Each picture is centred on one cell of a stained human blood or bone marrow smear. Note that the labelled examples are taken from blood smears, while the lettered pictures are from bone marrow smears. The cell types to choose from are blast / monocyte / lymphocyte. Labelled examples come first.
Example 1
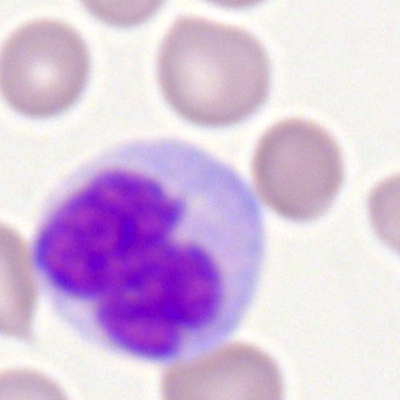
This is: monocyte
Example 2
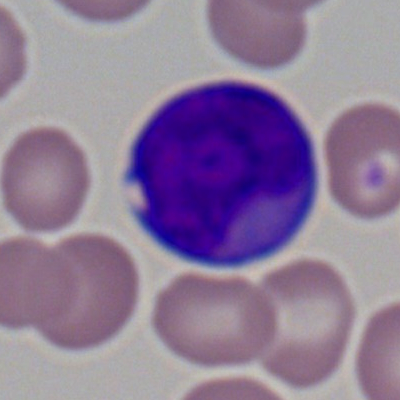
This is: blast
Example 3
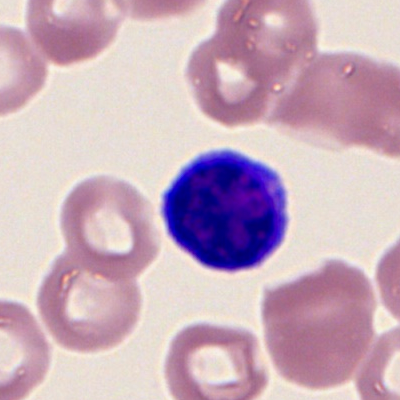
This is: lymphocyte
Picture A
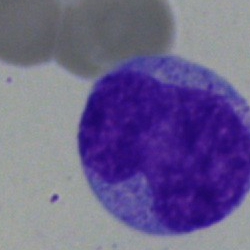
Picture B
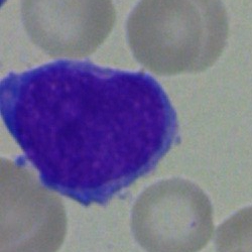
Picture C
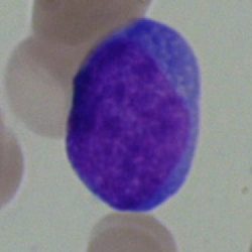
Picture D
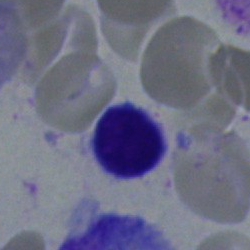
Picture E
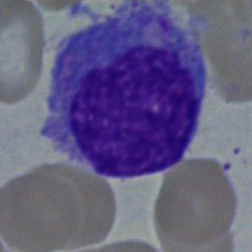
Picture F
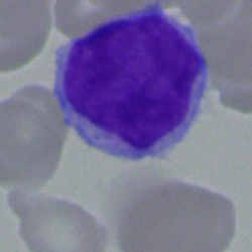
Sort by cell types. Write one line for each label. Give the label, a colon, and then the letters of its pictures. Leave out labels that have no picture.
blast: B, C
monocyte: A, E
lymphocyte: D, F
